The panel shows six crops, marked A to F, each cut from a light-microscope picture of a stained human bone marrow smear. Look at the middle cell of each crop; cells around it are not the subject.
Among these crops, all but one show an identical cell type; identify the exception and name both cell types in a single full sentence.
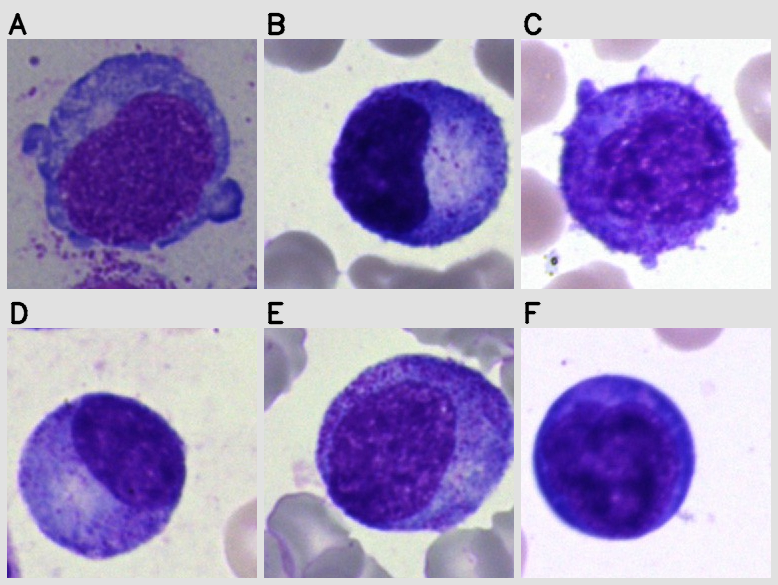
Every crop but one shows promyelocytes; the exception, crop F, shows a proerythroblast.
